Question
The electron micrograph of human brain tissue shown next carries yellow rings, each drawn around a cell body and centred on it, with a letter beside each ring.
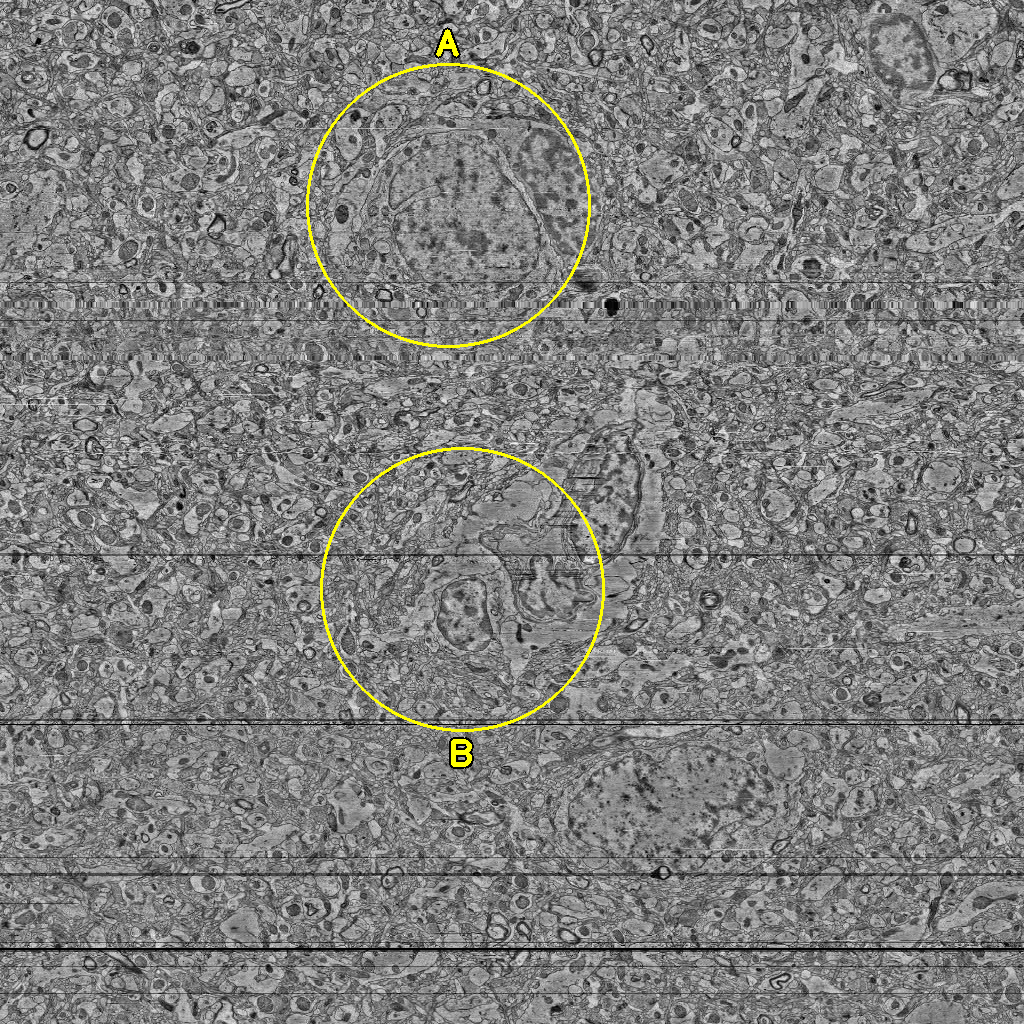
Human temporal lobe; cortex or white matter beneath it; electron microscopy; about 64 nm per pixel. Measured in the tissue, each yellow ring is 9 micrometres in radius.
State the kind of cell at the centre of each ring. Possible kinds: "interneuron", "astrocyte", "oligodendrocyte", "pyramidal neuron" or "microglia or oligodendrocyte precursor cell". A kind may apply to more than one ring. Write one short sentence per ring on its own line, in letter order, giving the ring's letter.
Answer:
The cell centred in ring A is an interneuron.
The cell centred in ring B is a microglial cell or oligodendrocyte precursor cell.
